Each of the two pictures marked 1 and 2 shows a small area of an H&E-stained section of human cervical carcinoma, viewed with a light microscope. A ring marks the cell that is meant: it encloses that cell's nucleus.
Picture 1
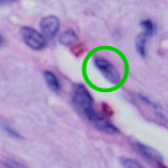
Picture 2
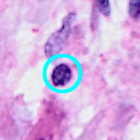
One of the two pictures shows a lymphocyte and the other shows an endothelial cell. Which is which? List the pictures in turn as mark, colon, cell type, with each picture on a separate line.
1: endothelial cell
2: lymphocyte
